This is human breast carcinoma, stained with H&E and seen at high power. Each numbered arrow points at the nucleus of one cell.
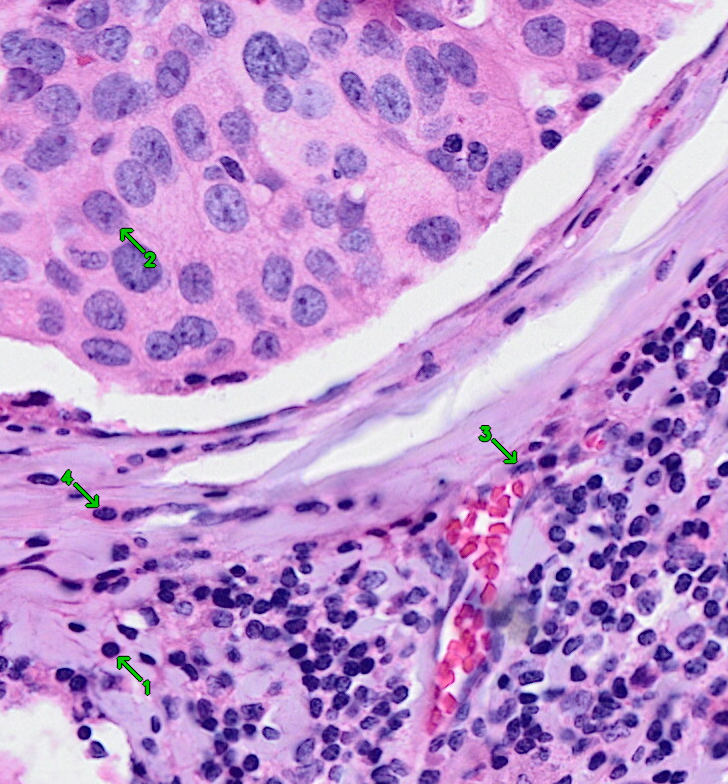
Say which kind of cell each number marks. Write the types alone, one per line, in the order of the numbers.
mast cell
carcinoma cell
endothelial cell
mast cell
